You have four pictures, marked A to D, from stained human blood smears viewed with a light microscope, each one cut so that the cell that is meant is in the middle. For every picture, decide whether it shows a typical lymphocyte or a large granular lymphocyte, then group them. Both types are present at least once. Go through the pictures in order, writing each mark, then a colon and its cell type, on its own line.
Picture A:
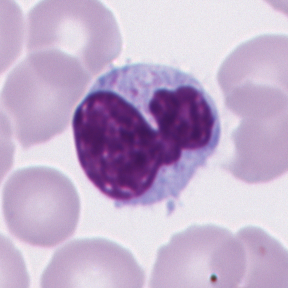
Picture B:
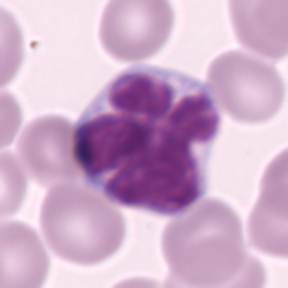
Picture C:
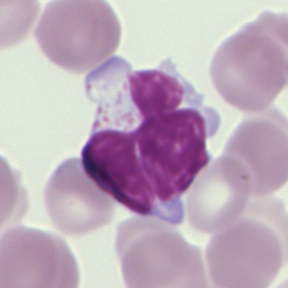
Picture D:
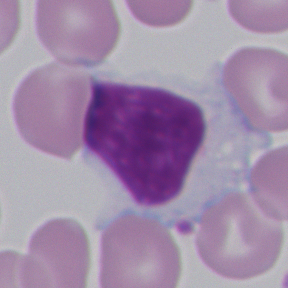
A: large granular lymphocyte
B: large granular lymphocyte
C: large granular lymphocyte
D: typical lymphocyte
